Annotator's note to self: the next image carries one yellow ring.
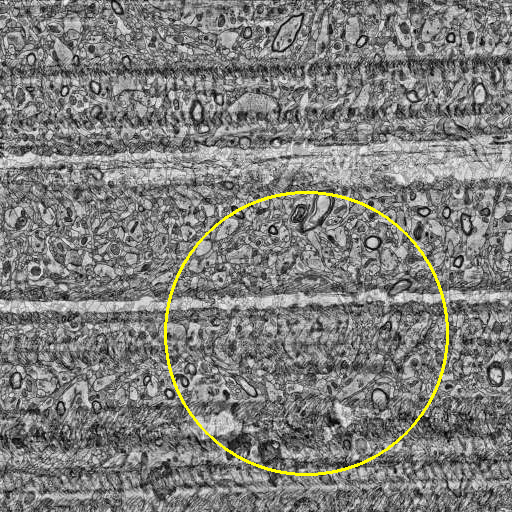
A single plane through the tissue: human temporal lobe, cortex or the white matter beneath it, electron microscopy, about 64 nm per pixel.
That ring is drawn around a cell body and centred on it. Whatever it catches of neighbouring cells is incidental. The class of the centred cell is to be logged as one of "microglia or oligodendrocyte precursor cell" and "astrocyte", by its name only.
microglia or oligodendrocyte precursor cell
